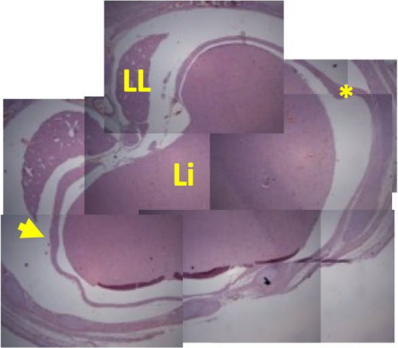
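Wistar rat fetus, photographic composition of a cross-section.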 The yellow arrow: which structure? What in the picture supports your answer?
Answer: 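Diaphragm. The arrow points to a thin continuous band running around the large solid organ. The band lies between the solid organ and the lobed lung tissue.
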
